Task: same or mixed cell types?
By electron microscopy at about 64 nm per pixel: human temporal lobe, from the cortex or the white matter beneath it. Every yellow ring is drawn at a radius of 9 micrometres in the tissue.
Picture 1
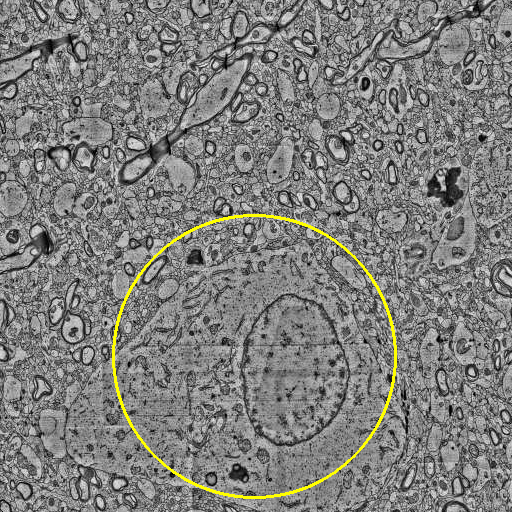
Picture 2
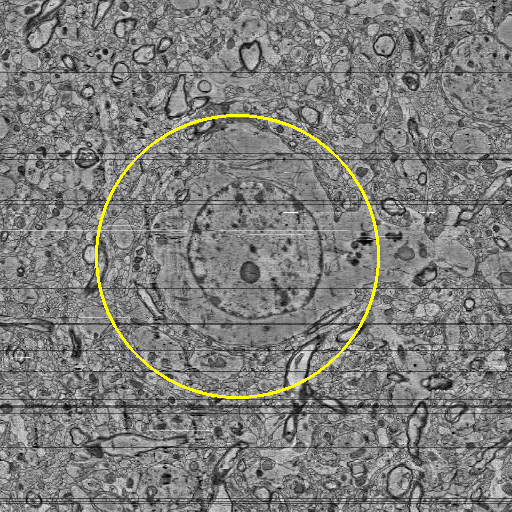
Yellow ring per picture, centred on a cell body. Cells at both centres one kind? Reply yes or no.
no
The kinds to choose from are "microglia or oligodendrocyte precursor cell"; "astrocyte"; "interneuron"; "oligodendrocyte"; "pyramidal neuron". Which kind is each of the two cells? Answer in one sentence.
Of the two, the first cell is a pyramidal neuron and the second cell is an astrocyte.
